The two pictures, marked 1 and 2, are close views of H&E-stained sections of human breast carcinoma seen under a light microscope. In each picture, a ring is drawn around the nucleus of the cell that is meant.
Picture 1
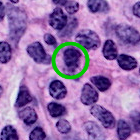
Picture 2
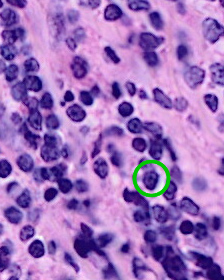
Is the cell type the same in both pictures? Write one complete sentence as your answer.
Yes, both cells are lymphocytes.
